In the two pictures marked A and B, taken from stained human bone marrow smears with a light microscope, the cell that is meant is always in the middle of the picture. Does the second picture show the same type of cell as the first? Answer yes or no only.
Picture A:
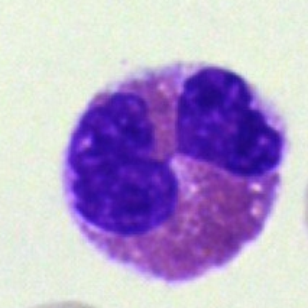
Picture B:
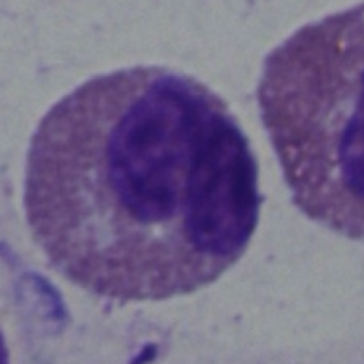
yes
